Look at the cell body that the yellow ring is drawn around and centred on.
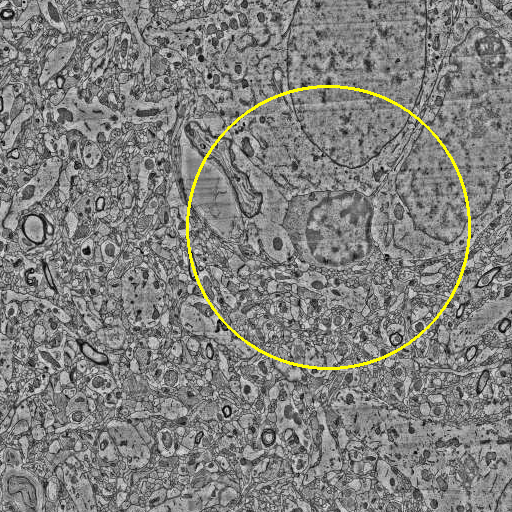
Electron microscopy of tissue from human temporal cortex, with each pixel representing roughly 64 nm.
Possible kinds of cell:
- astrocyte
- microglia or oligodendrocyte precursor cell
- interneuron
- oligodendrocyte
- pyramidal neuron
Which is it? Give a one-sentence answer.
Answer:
The centred cell body is that of an oligodendrocyte.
